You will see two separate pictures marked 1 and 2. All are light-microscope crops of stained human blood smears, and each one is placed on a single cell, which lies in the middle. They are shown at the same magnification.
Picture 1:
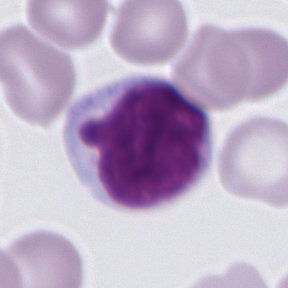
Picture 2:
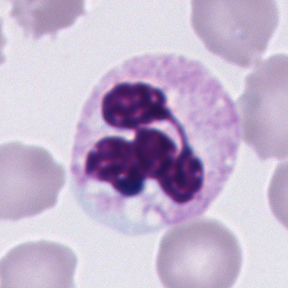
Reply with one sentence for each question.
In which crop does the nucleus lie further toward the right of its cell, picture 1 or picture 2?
In picture 1 the nucleus is shifted more toward the right.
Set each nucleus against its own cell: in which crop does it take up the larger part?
It is the cell in picture 1 that is filled more by its nucleus.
